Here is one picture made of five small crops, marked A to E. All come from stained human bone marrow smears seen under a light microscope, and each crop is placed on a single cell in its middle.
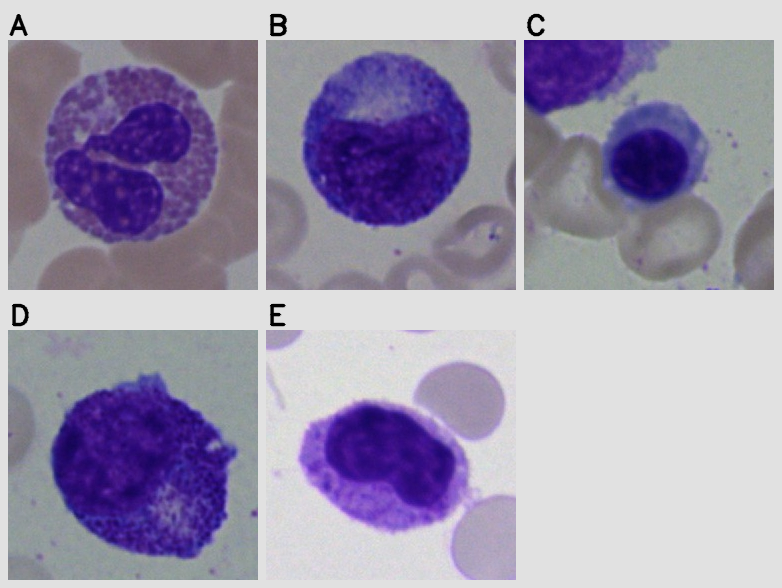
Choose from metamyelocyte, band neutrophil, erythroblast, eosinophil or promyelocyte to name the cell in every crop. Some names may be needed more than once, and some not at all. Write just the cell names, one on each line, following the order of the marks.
eosinophil
promyelocyte
erythroblast
promyelocyte
metamyelocyte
